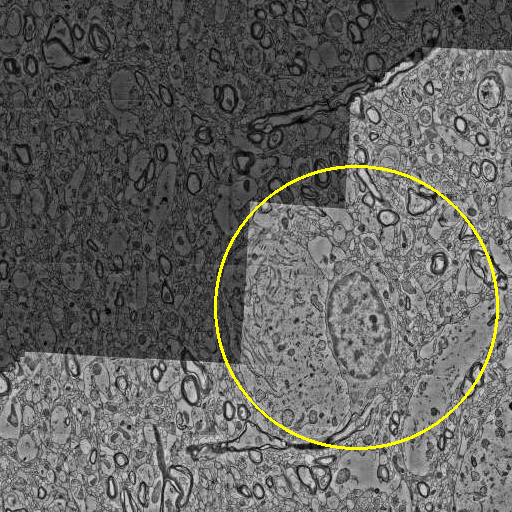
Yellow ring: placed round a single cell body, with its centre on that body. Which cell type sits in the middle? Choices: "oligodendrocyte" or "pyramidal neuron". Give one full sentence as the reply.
It is an oligodendrocyte whose cell body sits at the centre of the yellow ring.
